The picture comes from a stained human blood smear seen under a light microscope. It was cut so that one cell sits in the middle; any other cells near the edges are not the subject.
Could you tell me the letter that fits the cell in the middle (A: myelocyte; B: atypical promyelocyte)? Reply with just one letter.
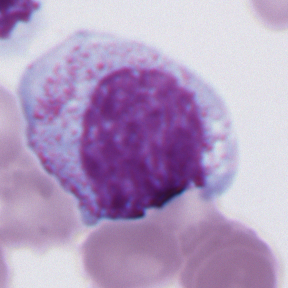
A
